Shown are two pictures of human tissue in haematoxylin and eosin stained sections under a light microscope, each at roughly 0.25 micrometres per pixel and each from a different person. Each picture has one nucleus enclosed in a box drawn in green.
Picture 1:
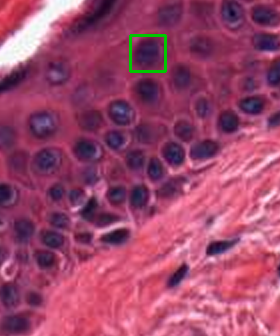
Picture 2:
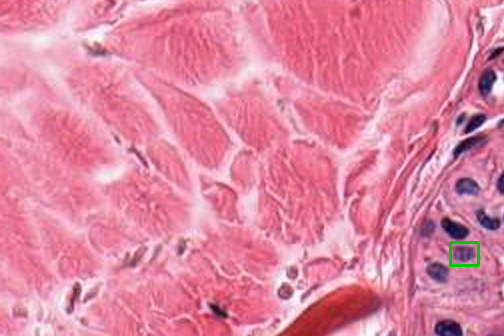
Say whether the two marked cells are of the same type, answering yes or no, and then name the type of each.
No, the first is a keratinocyte and the second a sweat gland cell.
